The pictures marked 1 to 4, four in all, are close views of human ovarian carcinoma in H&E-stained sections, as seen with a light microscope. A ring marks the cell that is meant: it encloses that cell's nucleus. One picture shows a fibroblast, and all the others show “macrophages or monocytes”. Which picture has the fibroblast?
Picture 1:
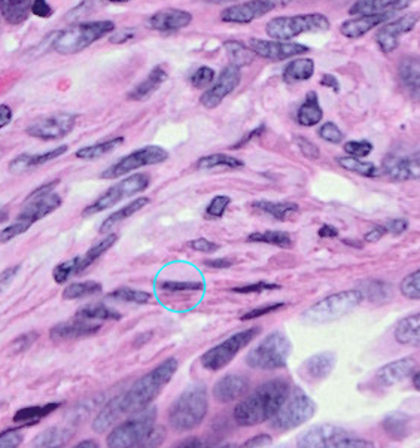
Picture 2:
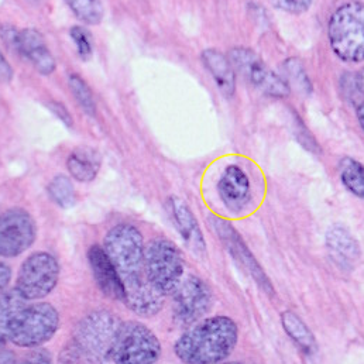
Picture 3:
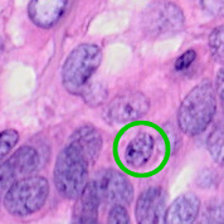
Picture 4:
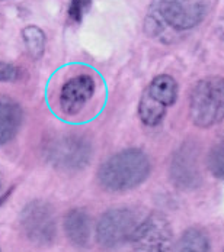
1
